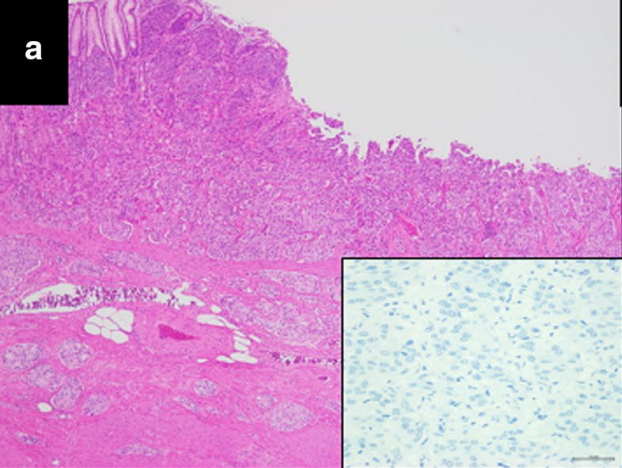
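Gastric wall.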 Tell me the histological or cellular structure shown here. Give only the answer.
Small nests or a cribriform-like pattern.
